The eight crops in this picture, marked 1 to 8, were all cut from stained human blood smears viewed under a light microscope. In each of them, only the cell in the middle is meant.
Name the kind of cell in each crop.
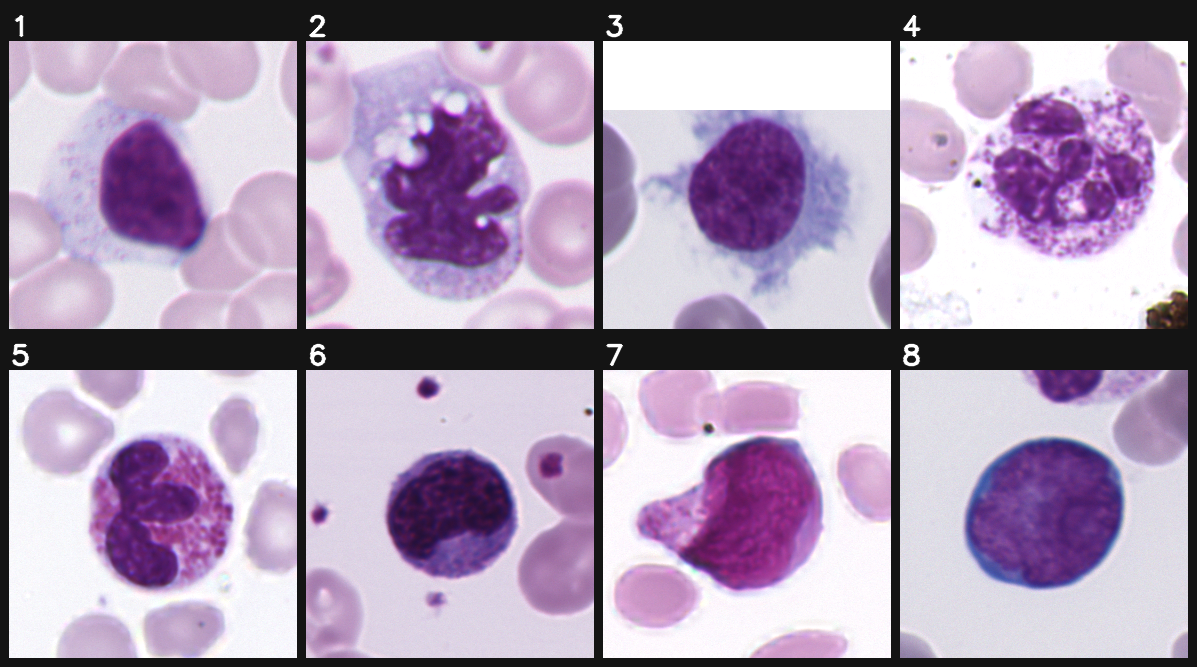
1: large granular lymphocyte
2: monocyte
3: hairy cell
4: neutrophil
5: eosinophil
6: monocyte
7: atypical promyelocyte
8: myeloblast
